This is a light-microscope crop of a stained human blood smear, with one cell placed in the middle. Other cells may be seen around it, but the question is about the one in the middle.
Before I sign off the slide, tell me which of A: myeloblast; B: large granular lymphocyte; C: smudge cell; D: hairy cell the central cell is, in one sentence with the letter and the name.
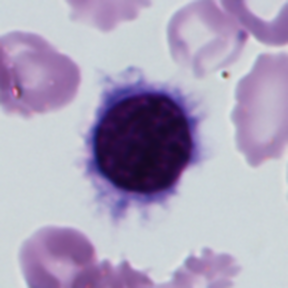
Of the choices given, option D is right, as the central cell is a hairy cell.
